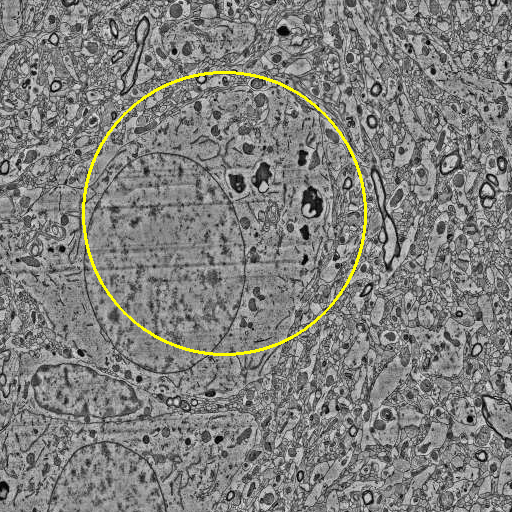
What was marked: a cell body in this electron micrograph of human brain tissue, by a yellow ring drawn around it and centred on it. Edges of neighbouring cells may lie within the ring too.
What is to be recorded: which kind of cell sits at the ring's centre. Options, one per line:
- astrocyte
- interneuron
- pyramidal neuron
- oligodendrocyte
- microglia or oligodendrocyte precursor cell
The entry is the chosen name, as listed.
pyramidal neuron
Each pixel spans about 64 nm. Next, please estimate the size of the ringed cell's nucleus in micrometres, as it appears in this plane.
About 14 by 10 micrometers, in this plane.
